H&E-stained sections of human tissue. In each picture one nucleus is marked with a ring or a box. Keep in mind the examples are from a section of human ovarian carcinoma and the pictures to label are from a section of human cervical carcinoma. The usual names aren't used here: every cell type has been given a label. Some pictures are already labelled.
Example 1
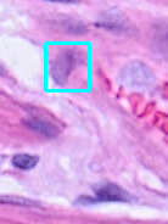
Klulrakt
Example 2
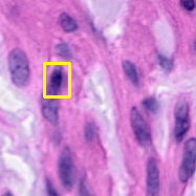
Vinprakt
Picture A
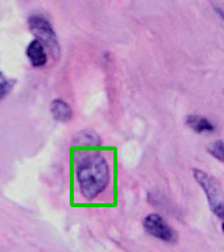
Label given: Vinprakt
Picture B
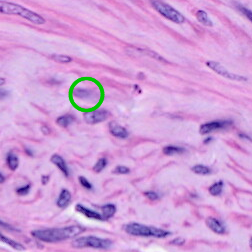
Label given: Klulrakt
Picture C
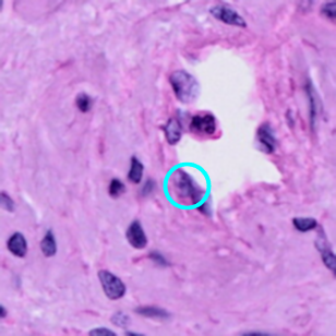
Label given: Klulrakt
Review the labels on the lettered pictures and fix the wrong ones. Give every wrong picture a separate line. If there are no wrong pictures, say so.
A: not Vinprakt but Klulrakt
B: not Klulrakt but Vinprakt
